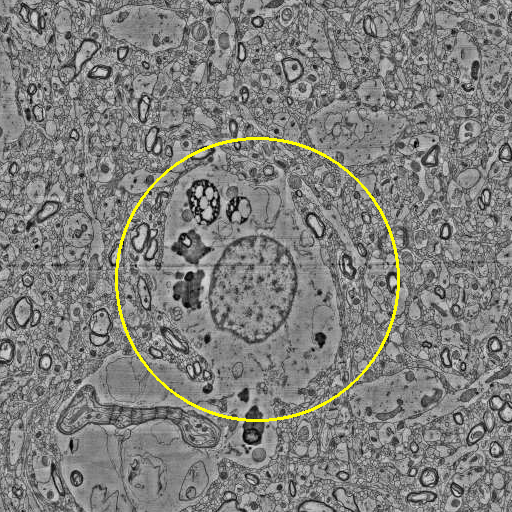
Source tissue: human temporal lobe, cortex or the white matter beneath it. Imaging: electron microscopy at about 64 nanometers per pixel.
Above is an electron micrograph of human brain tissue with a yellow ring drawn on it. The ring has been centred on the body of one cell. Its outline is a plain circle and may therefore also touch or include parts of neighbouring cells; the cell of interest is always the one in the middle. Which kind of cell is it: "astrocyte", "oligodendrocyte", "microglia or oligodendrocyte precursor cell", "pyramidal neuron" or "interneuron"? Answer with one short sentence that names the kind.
The ring's central cell body is that of an astrocyte.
